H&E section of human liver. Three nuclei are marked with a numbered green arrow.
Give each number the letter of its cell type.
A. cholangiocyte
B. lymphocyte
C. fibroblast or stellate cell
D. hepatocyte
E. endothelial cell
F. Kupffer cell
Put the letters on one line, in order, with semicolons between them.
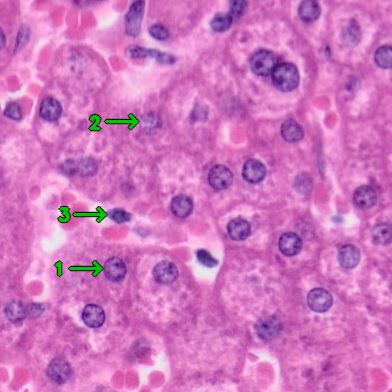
D; D; B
